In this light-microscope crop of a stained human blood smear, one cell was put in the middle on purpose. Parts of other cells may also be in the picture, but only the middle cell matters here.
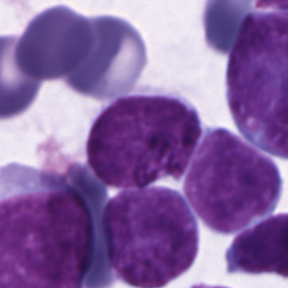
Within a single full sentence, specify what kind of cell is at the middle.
The cell centered in this field of view is a myeloblast.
